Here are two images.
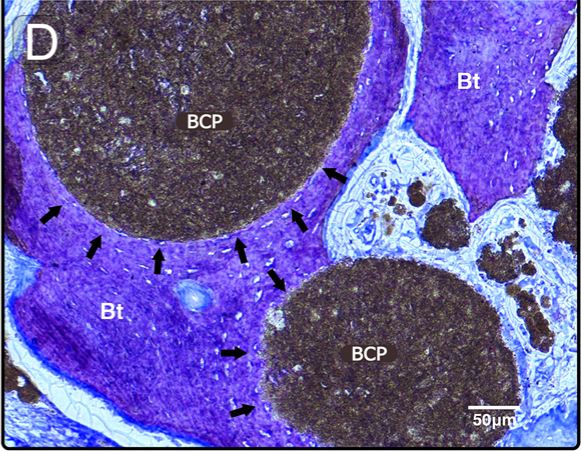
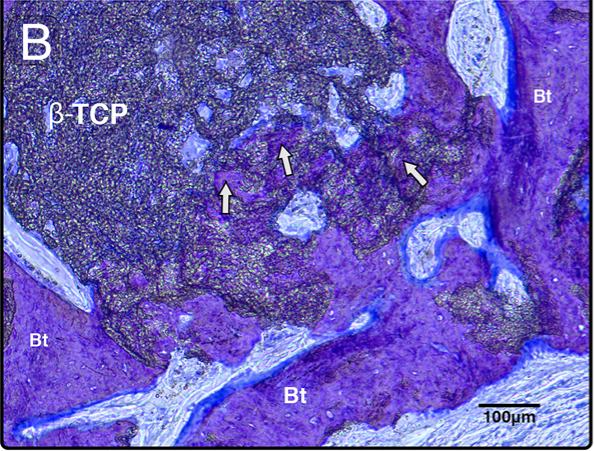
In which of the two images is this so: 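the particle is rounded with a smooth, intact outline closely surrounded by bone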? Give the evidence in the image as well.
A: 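First image: dark round particles with smooth edges, rimmed closely by purple bone. Second image: an irregular granular particle mass with ragged edges and purple bone zones inside it. The answer: the first image.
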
